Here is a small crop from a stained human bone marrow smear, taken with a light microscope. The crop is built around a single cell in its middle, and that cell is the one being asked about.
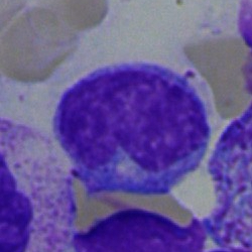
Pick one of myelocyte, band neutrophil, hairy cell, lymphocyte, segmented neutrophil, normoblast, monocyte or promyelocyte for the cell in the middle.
monocyte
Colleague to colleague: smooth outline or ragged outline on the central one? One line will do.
The outline traces a smooth curve with no projections along it.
